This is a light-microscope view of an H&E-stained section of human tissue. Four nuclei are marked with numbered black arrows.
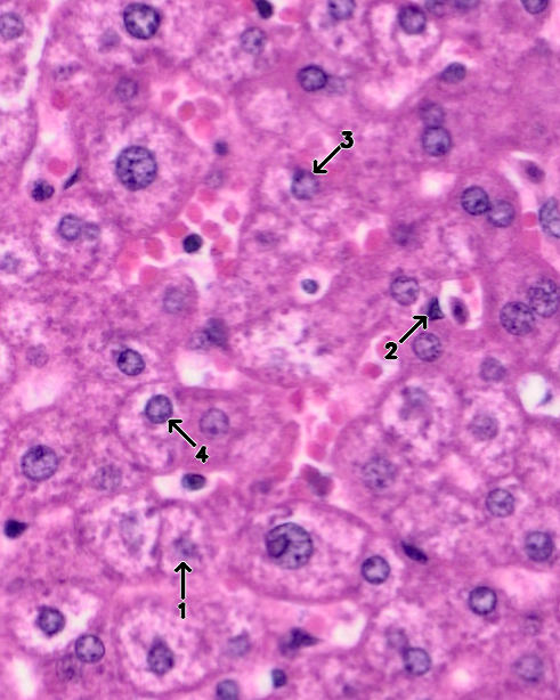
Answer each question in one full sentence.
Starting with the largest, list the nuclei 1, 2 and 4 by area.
Going from the biggest nucleus down to the smallest gives 4, 1, 2.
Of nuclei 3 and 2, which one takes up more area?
At about 2 times the area of nucleus 2, nucleus 3 is the larger of the two.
